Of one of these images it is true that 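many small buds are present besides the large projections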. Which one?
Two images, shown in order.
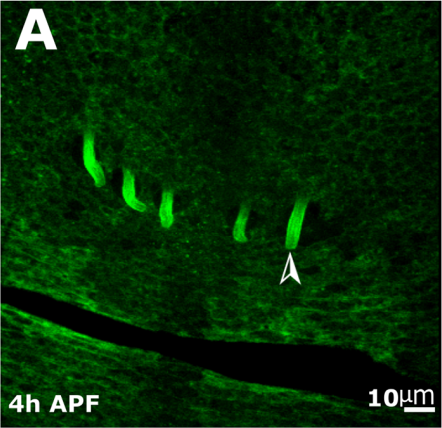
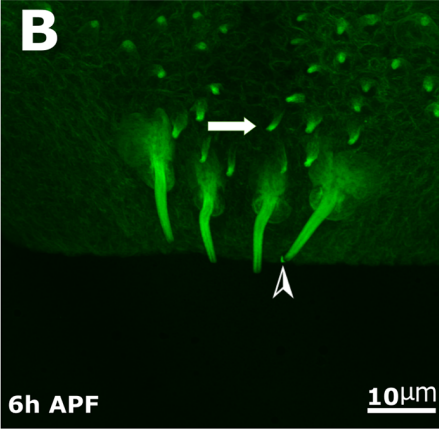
The second image.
